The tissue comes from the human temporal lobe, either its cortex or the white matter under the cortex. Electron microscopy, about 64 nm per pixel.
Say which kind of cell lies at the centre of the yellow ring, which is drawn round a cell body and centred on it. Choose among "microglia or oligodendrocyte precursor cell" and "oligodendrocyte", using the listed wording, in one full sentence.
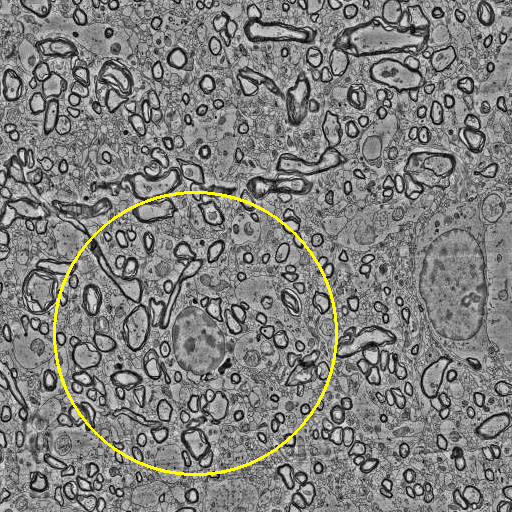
Going by the list, the cell at the yellow ring's centre is a microglial cell or oligodendrocyte precursor cell.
